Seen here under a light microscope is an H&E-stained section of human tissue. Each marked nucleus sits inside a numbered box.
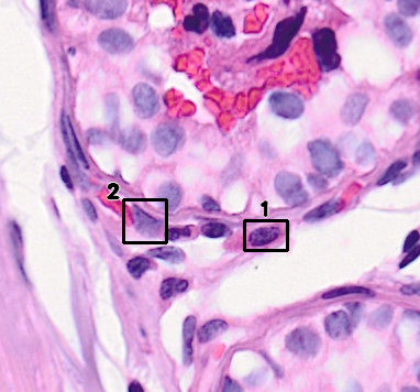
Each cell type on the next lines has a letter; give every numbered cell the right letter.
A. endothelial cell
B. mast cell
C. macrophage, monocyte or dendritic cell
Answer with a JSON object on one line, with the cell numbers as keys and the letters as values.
{"1": "B", "2": "A"}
